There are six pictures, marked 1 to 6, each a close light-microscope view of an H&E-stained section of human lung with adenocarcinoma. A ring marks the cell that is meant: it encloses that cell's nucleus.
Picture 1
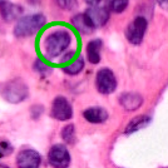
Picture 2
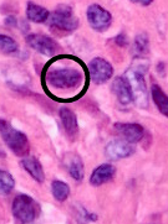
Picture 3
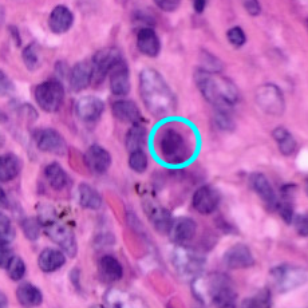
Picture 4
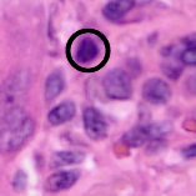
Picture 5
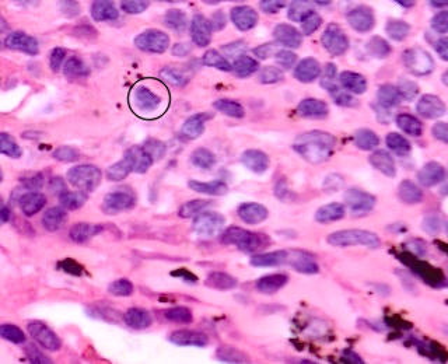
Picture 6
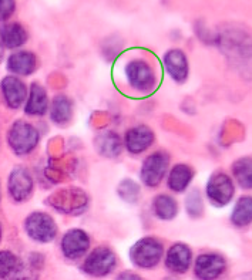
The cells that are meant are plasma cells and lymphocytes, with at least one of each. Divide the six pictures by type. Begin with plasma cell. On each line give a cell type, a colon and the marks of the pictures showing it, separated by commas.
plasma cell: 2, 3, 4
lymphocyte: 1, 5, 6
